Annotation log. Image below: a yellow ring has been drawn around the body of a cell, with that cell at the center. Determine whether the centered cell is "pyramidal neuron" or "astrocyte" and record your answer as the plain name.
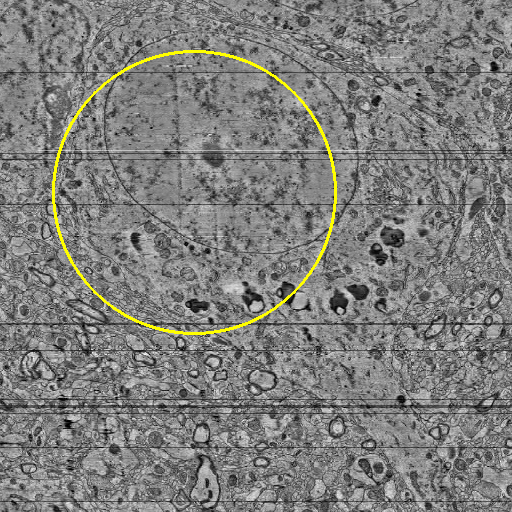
pyramidal neuron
